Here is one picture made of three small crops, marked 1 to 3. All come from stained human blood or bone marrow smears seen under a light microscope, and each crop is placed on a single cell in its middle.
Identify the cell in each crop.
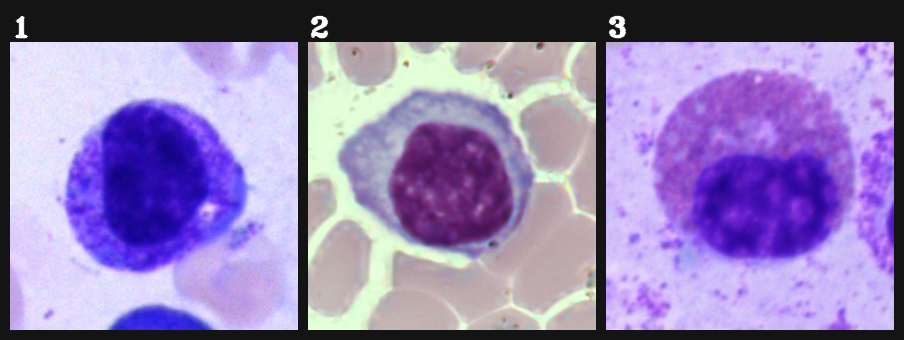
1: myelocyte
2: plasma cell
3: eosinophil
